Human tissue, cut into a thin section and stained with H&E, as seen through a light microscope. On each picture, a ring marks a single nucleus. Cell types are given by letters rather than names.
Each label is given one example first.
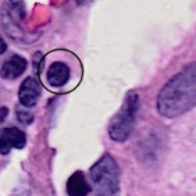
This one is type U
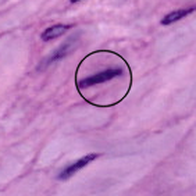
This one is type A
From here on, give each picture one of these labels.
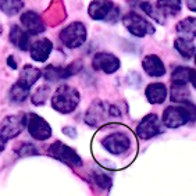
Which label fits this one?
type U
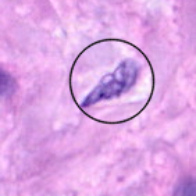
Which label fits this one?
type A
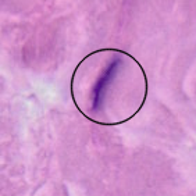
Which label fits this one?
type A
